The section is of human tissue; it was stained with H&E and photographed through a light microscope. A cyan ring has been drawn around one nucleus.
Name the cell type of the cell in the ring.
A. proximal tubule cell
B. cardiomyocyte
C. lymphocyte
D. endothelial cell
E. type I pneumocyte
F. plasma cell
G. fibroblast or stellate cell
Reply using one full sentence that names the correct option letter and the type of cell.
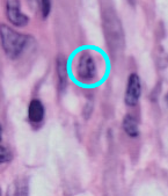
The correct response is option F: the cell in the ring is a plasma cell.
